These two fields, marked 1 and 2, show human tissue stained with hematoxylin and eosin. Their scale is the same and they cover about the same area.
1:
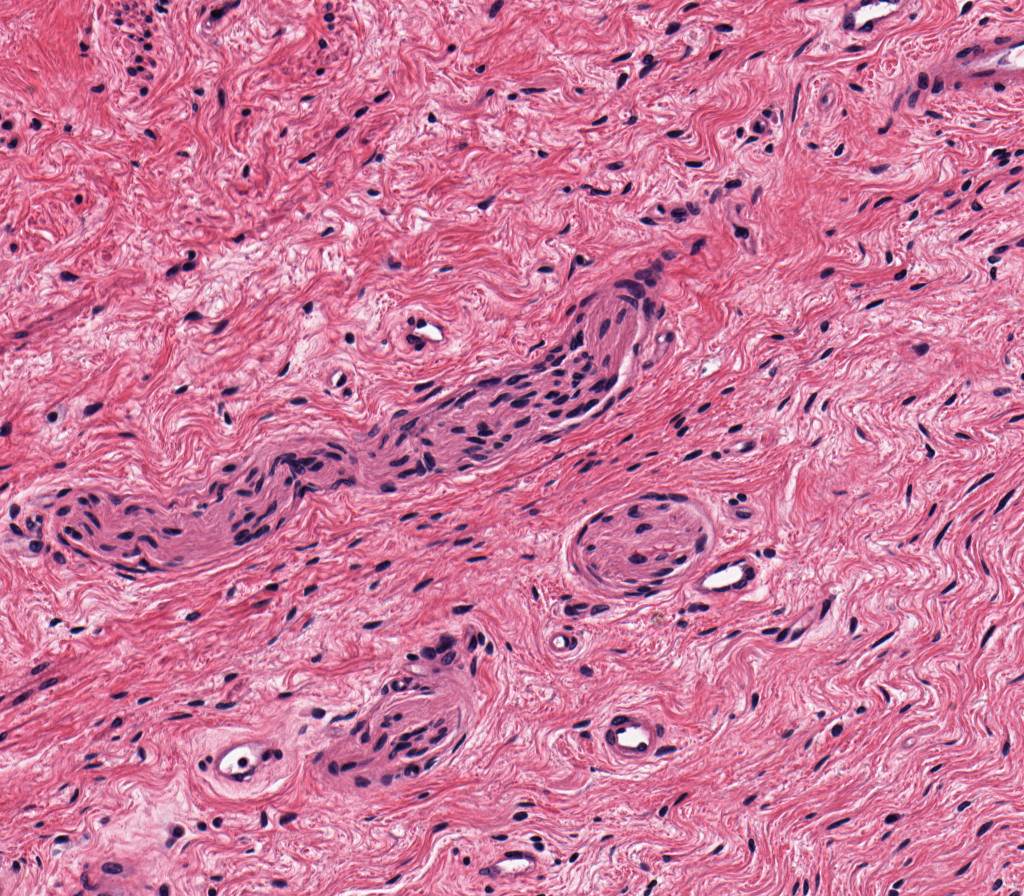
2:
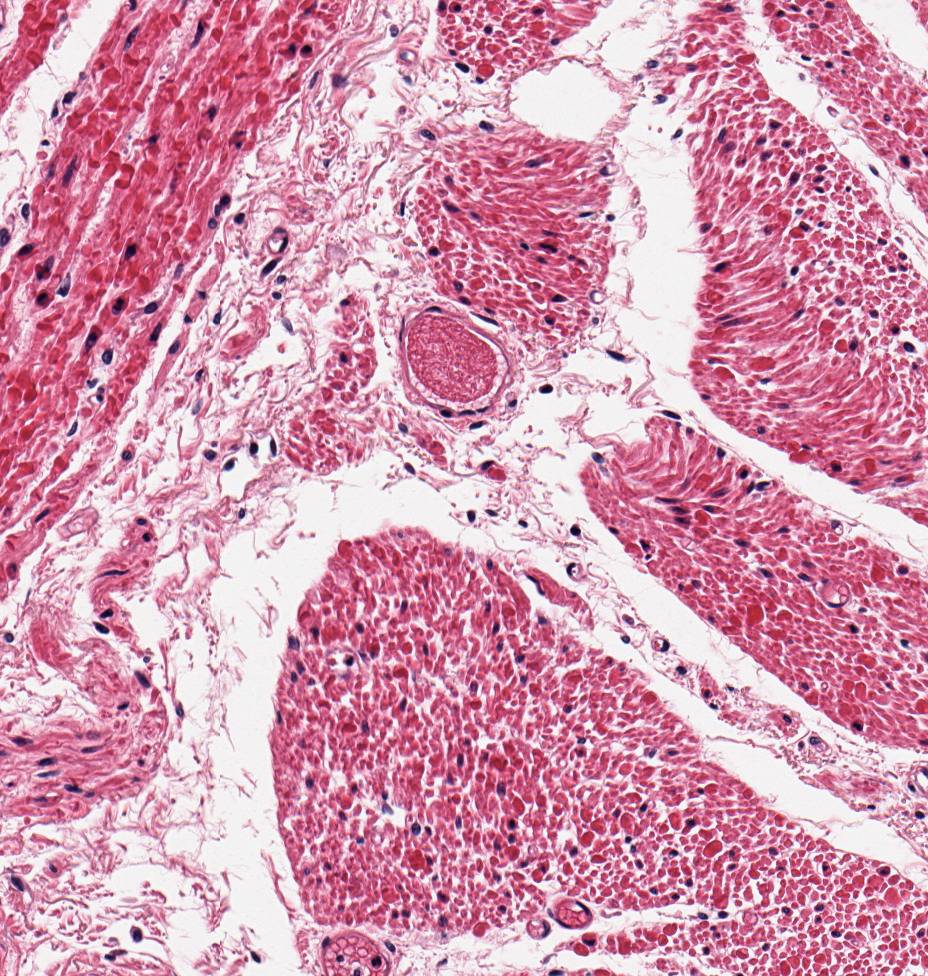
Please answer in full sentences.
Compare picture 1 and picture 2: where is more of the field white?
It is picture 2 in which white space covers the larger part.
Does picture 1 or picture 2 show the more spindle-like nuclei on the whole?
It is picture 1 whose nuclei are the more elongated.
